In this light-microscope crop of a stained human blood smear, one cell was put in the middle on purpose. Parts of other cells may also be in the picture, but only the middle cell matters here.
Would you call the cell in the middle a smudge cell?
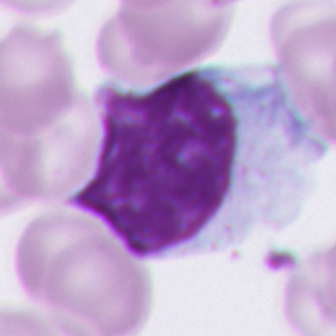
no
